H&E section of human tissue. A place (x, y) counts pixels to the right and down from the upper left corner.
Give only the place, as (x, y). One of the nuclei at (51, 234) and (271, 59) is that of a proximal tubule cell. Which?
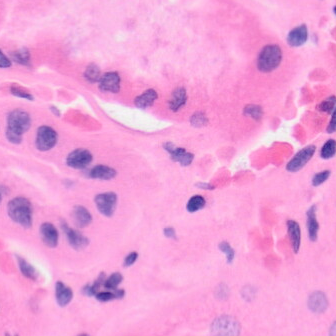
(271, 59)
